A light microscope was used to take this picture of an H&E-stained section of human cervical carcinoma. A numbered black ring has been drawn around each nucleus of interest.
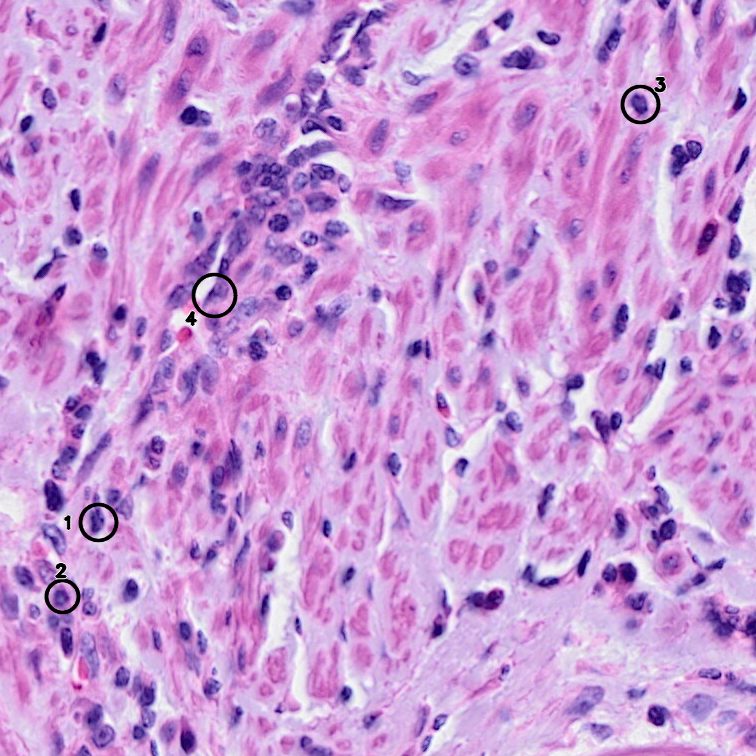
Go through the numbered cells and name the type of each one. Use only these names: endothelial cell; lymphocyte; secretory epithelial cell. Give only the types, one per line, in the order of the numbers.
lymphocyte
lymphocyte
lymphocyte
endothelial cell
